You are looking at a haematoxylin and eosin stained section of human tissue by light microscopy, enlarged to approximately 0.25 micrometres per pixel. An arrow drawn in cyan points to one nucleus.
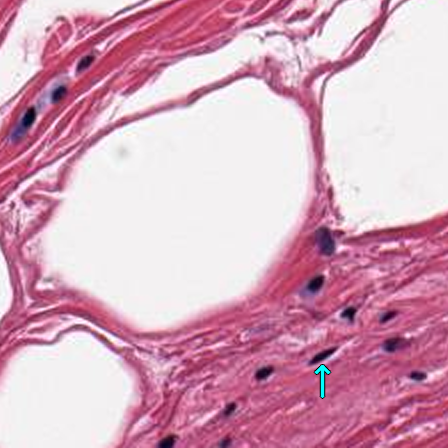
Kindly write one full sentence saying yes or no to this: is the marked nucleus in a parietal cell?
No, the marked nucleus lies within a supporting cell, not within a parietal cell.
